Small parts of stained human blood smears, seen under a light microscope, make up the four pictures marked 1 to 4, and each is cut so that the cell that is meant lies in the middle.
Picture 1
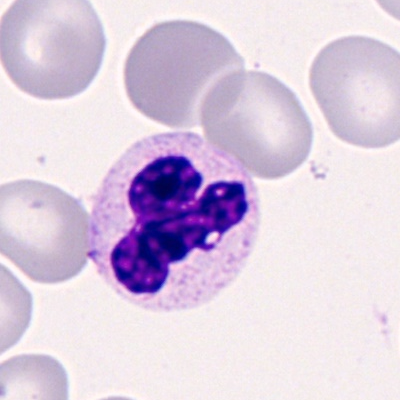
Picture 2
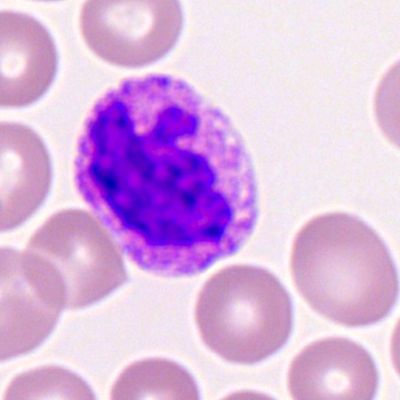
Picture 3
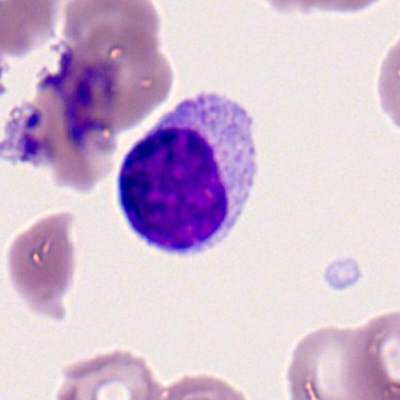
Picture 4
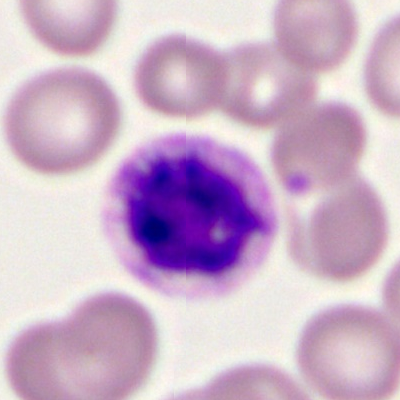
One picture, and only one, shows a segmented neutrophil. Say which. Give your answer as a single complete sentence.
It is picture 1 that shows the segmented neutrophil.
